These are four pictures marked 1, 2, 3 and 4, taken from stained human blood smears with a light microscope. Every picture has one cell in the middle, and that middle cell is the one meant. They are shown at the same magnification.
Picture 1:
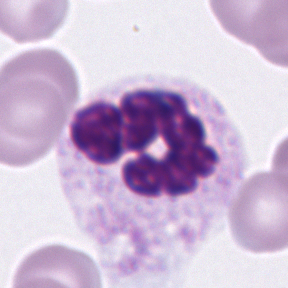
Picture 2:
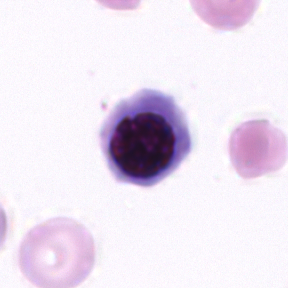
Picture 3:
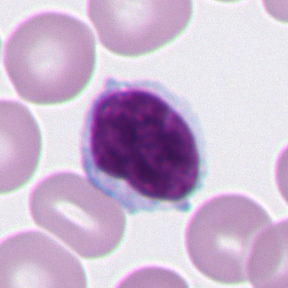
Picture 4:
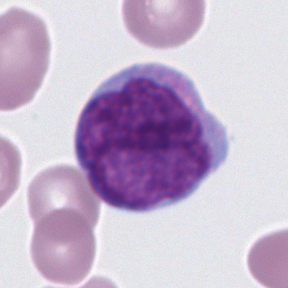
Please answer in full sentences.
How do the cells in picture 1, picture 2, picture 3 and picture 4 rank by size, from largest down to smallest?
The order is 1, 4, 3, 2, beginning with the largest.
